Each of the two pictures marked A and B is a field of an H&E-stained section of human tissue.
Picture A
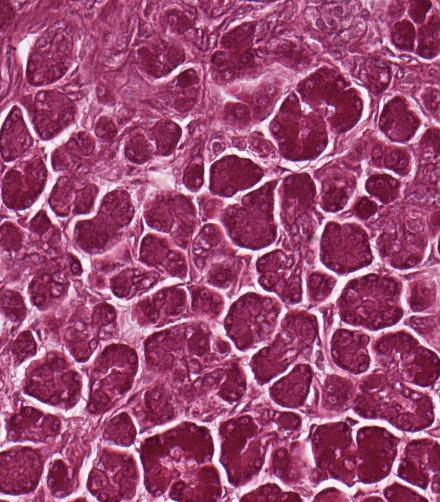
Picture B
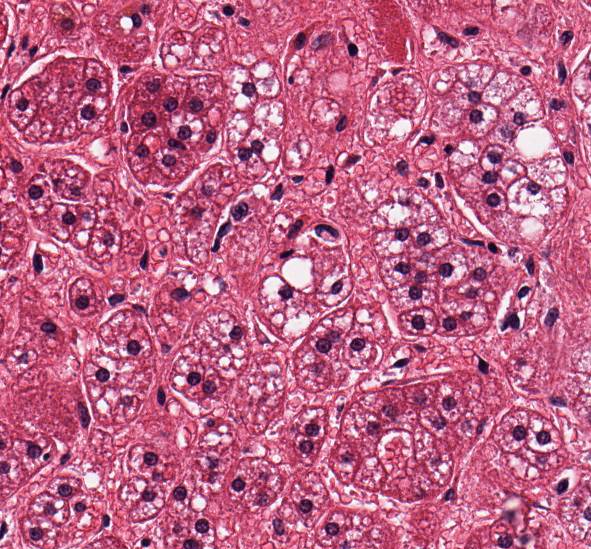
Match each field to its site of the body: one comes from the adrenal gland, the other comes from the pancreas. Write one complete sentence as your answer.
It is picture A that comes from the pancreas, and picture B that comes from the adrenal gland.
